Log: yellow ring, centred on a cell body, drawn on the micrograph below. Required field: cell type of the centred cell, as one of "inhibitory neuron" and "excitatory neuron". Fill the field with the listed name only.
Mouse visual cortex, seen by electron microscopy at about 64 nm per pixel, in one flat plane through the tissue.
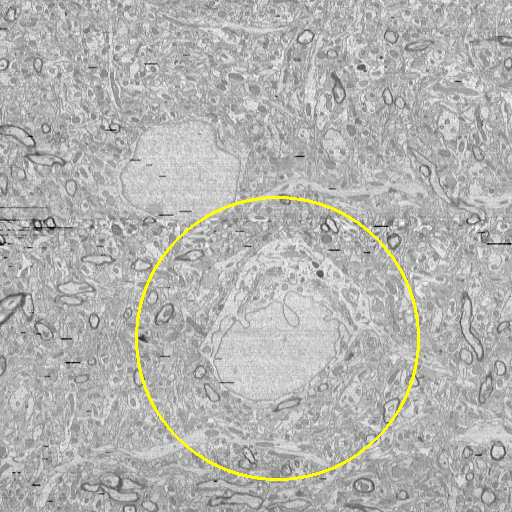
inhibitory neuron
